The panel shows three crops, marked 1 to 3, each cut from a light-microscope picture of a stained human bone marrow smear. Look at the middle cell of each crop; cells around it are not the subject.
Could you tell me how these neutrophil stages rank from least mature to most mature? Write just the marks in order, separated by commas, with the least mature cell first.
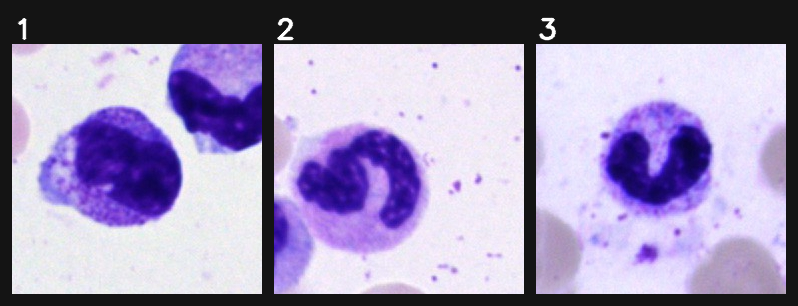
1, 3, 2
